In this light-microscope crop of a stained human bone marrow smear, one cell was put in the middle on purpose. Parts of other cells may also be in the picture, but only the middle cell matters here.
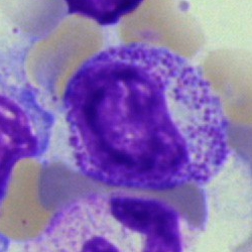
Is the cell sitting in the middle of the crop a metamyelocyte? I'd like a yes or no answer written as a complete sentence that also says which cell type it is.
No, looking at the central cell, it is a myelocyte rather than a metamyelocyte.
